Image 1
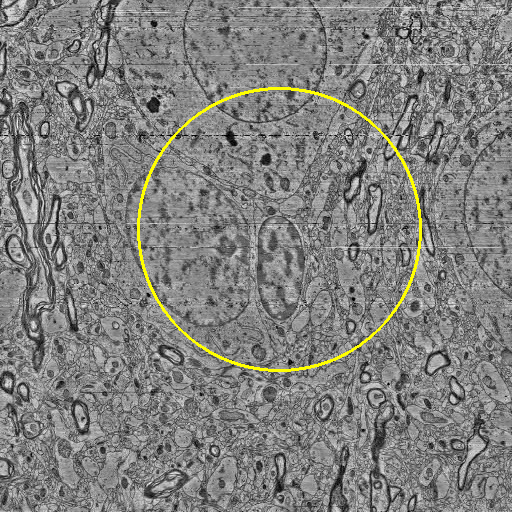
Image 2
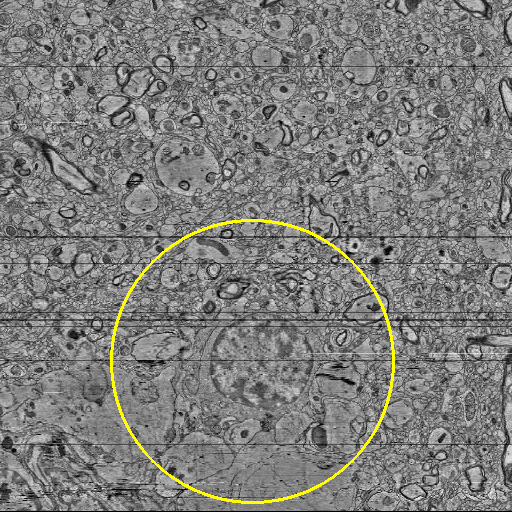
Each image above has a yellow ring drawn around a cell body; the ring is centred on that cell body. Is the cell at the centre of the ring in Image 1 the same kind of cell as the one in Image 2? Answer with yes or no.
no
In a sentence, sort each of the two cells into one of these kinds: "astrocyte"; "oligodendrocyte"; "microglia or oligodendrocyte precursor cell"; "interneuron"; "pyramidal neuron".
The first of the two cells is a microglial cell or oligodendrocyte precursor cell, and the second is an oligodendrocyte.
